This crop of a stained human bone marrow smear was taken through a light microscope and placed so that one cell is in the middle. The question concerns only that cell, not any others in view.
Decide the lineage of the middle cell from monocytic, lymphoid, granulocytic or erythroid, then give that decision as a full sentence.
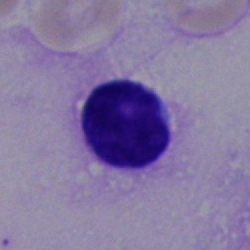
Regarding its lineage, the centered cell is lymphoid.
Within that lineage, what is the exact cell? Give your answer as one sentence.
Where the crop is centred, there is a lymphocyte.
